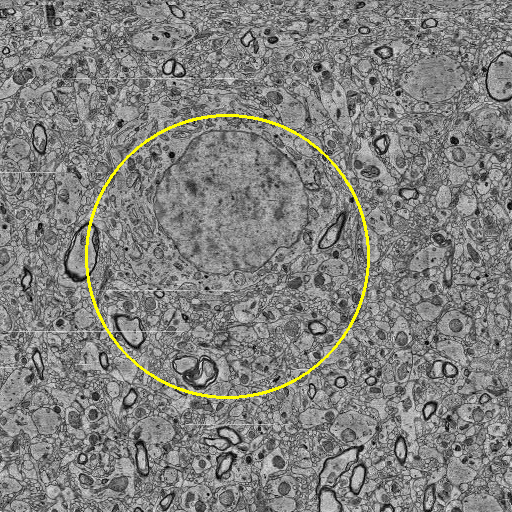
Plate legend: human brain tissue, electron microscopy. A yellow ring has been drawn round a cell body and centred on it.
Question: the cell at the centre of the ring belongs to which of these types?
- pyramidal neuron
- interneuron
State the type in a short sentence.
The cell in the middle of the ring is an interneuron.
